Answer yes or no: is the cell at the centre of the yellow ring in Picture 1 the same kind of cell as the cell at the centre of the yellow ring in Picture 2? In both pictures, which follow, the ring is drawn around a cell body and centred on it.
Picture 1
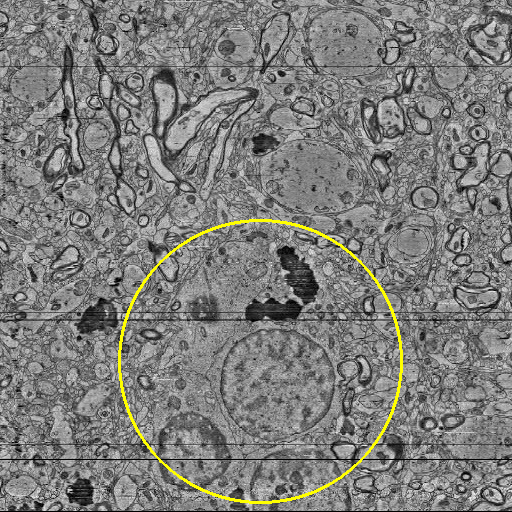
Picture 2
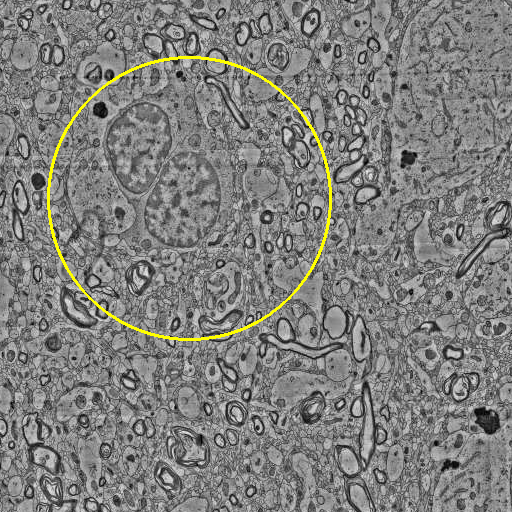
yes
